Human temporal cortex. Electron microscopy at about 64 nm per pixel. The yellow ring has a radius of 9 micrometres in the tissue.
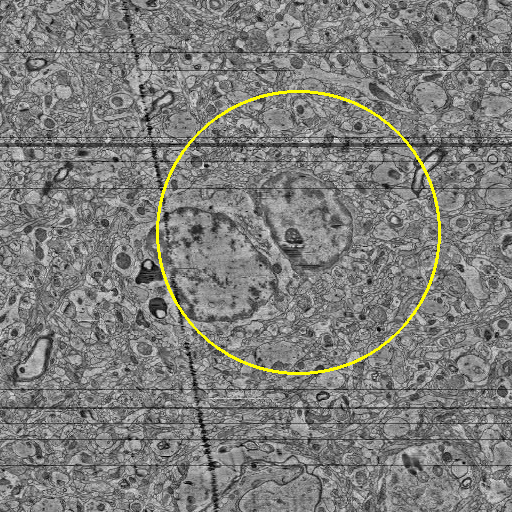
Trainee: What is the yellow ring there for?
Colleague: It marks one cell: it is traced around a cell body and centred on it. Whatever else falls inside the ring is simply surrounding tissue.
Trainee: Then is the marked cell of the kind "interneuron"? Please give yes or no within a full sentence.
No, the marked cell at the centre of the yellow ring is of a different kind.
